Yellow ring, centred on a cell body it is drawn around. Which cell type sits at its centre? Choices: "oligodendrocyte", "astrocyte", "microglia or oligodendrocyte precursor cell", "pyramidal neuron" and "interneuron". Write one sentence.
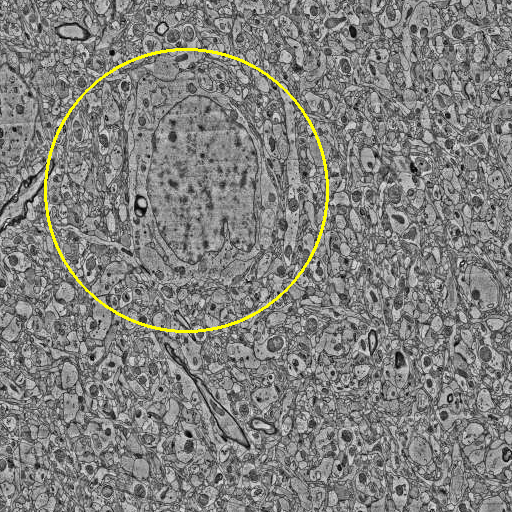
At the centre of the ring sits an interneuron.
